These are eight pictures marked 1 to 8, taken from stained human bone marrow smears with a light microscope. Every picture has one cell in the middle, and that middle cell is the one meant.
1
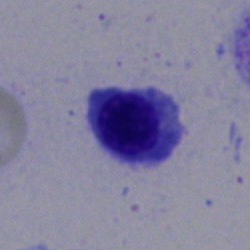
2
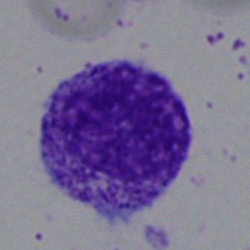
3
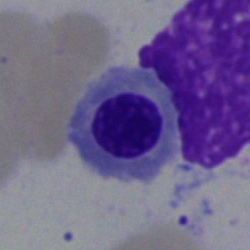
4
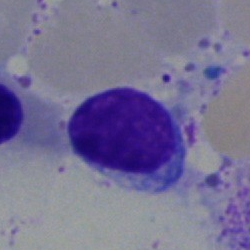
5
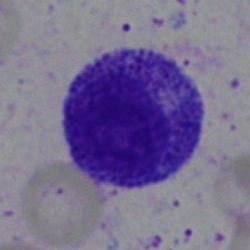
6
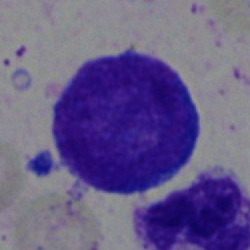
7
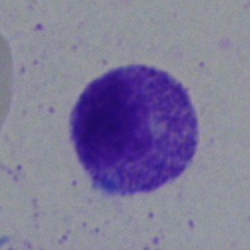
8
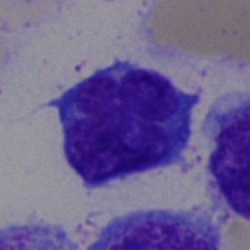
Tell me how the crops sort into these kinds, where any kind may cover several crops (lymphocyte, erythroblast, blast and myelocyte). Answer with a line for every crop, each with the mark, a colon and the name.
1: erythroblast
2: myelocyte
3: erythroblast
4: lymphocyte
5: myelocyte
6: blast
7: myelocyte
8: blast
